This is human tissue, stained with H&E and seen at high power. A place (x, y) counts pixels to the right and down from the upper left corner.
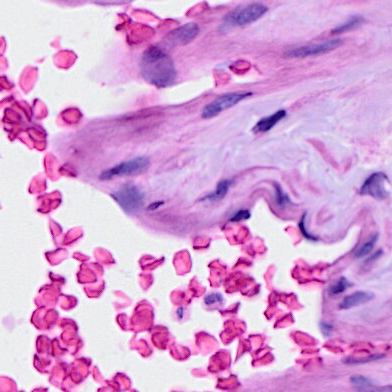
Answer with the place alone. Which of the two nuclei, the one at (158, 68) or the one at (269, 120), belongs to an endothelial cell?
(158, 68)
